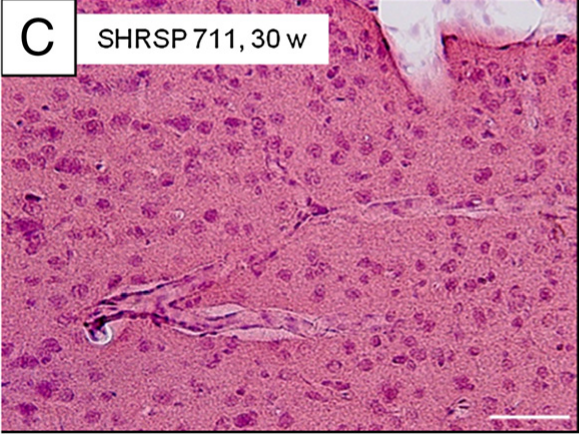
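This is brain tissue stained with hematoxylin and eosin: round to oval purple nuclei are scattered evenly in pink neuropil. Elongated vessels cross the lower half of the field. Flattened nuclei line their walls, and their lumina look empty and pale. A cleft opens at the upper edge of the section.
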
